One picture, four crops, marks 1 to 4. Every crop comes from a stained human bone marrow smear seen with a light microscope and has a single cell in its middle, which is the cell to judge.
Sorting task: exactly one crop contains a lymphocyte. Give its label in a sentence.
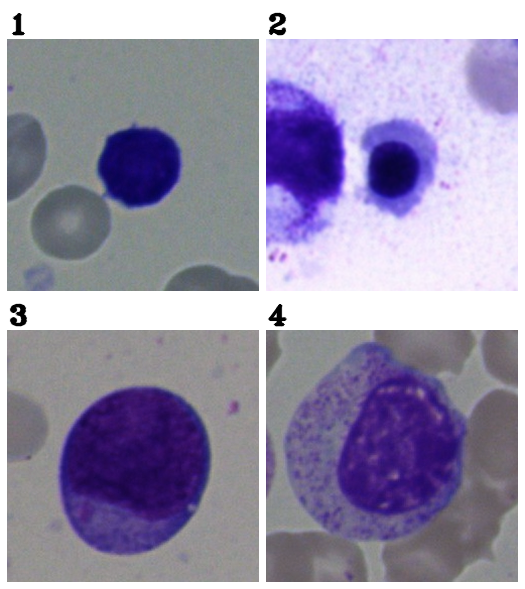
It is in crop 1 that a lymphocyte is shown.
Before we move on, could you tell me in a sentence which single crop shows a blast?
Crop 3 is the one depicting a blast.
